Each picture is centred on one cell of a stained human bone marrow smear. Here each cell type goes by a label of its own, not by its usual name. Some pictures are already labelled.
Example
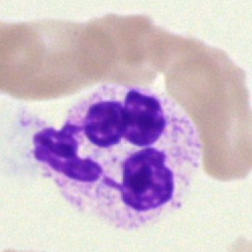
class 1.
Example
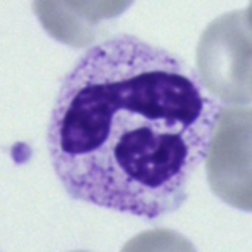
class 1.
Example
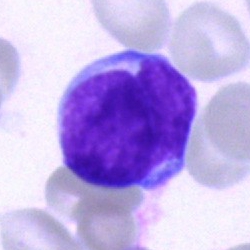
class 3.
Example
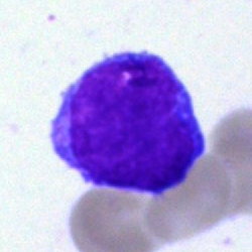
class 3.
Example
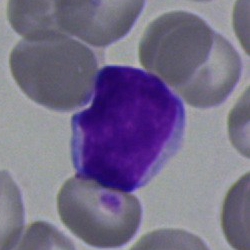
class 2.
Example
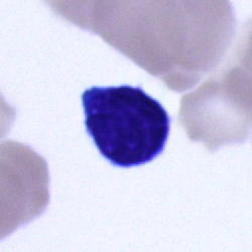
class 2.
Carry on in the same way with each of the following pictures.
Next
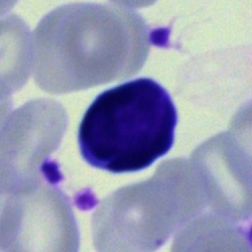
class 2.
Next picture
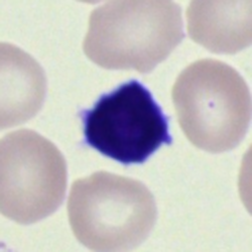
class 2.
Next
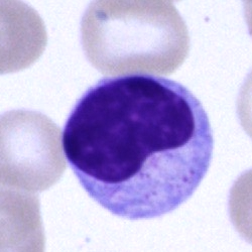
class 2.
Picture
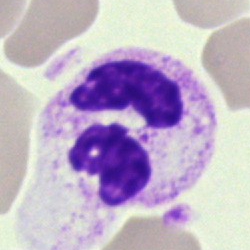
class 1.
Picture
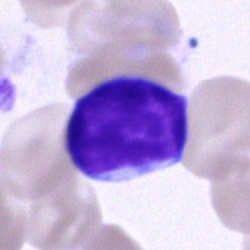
class 2.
